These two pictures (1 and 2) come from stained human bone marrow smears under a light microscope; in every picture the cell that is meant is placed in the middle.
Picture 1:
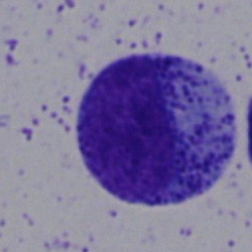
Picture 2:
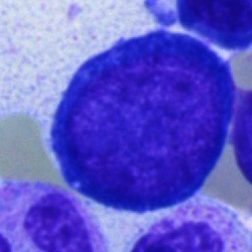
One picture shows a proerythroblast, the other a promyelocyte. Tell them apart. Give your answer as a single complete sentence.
Picture 1 is of a promyelocyte, and picture 2 is of a proerythroblast.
